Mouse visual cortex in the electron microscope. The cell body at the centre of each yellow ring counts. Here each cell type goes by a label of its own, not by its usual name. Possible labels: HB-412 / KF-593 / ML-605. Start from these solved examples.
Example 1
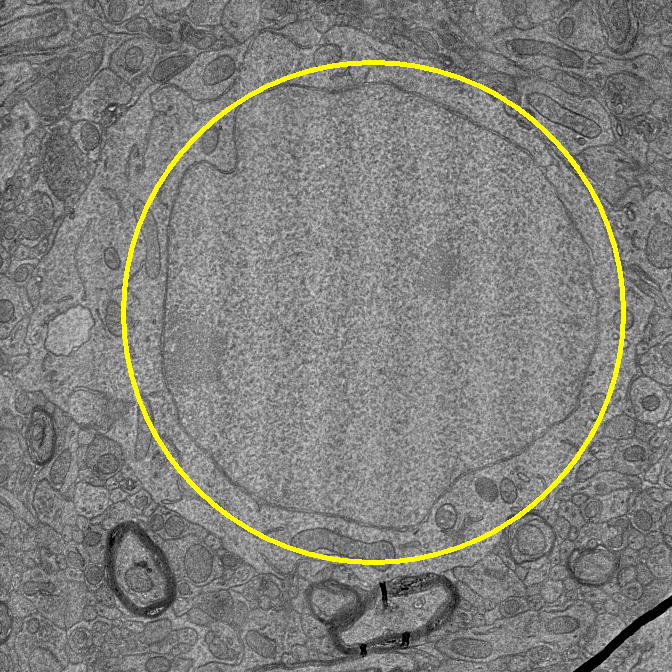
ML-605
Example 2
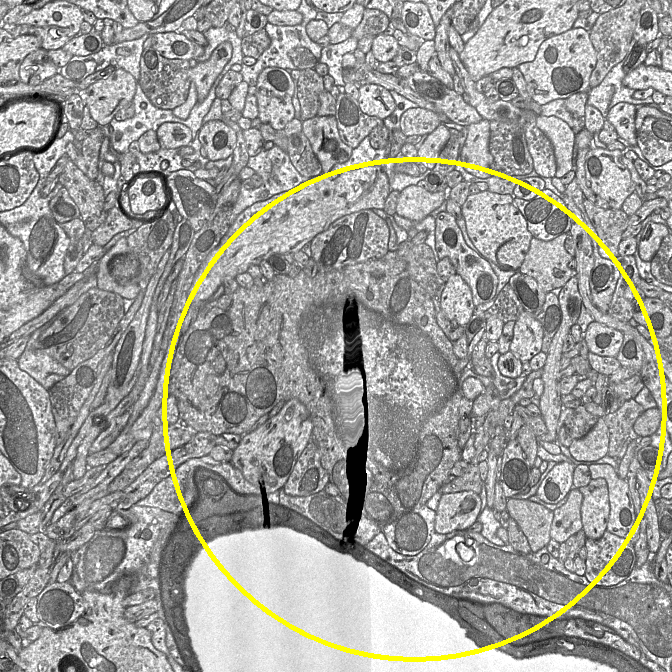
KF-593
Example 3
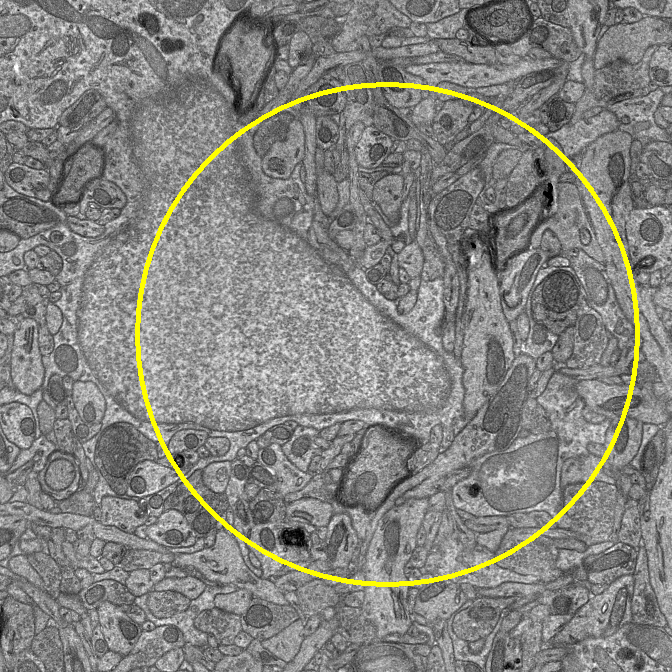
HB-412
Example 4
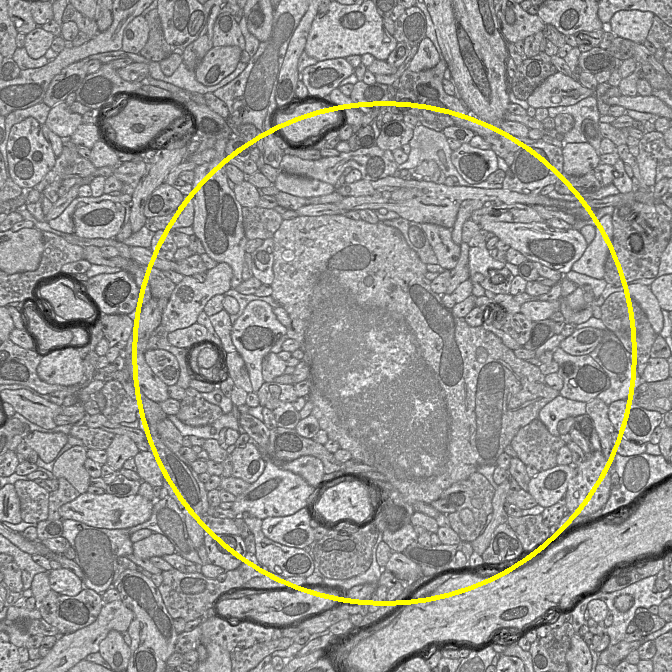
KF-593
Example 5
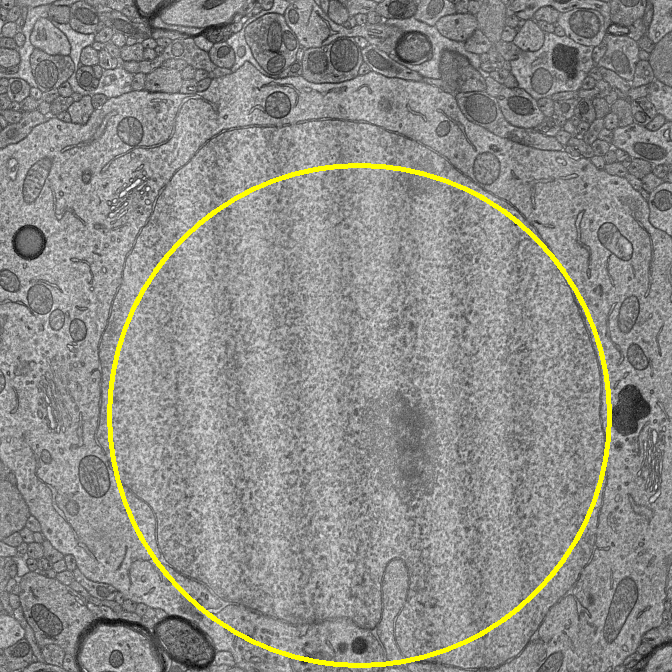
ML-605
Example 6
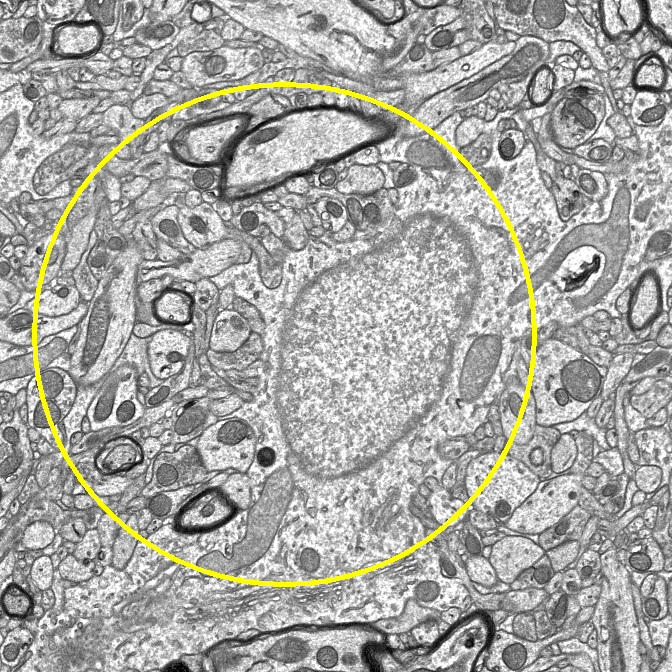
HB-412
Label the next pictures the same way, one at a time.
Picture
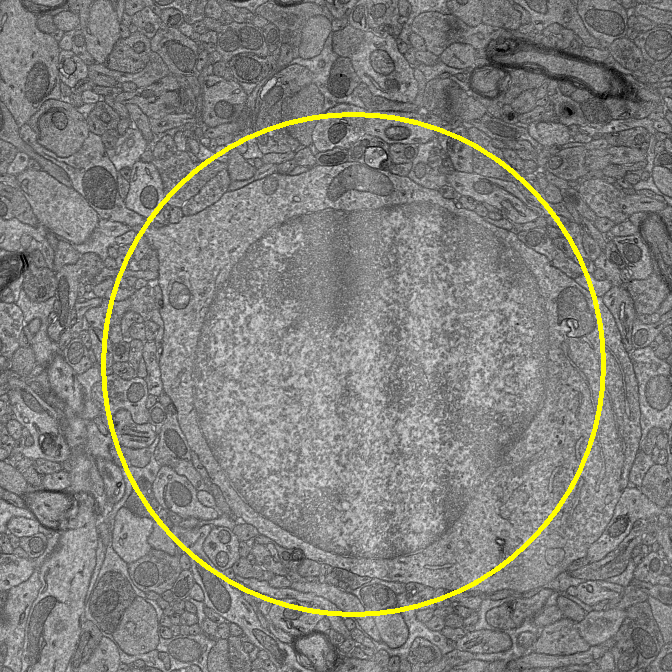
KF-593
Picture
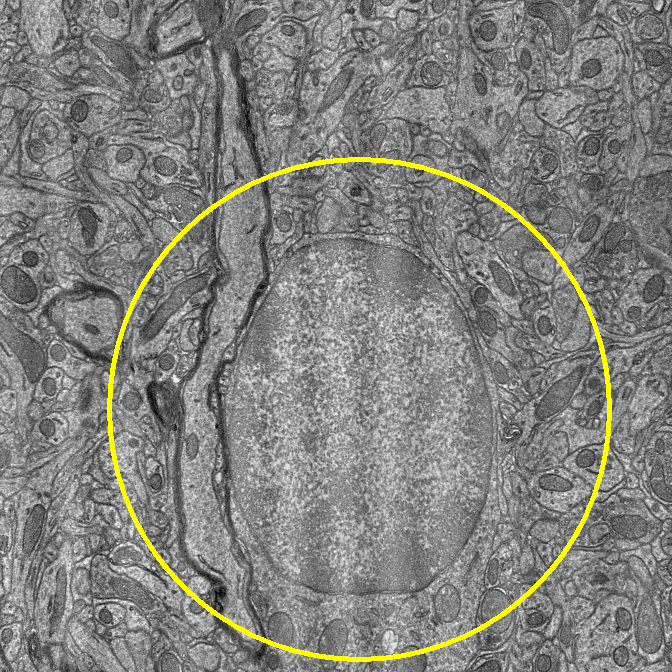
KF-593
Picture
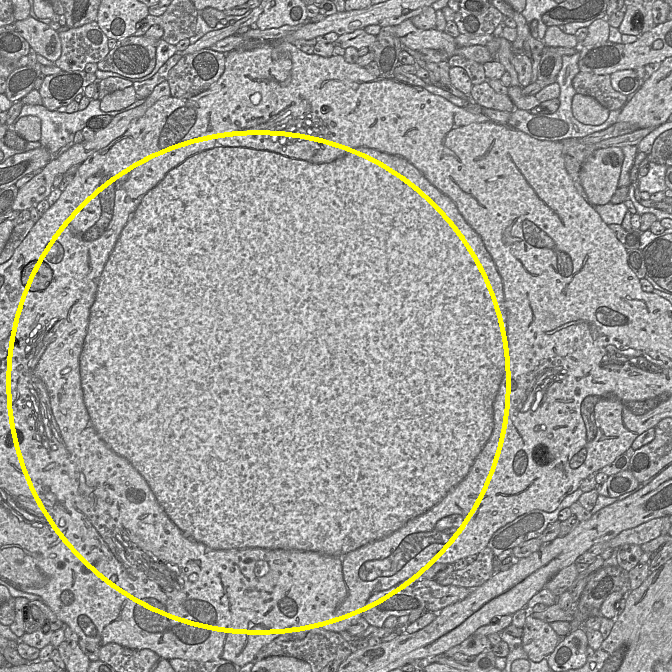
ML-605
